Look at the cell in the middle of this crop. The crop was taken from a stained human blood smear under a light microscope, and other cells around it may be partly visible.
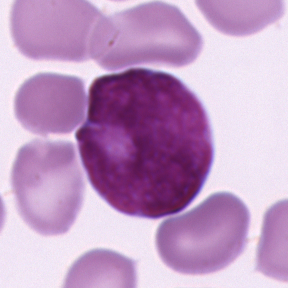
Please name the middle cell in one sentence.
In this crop, the cell at the very middle is a myeloblast.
